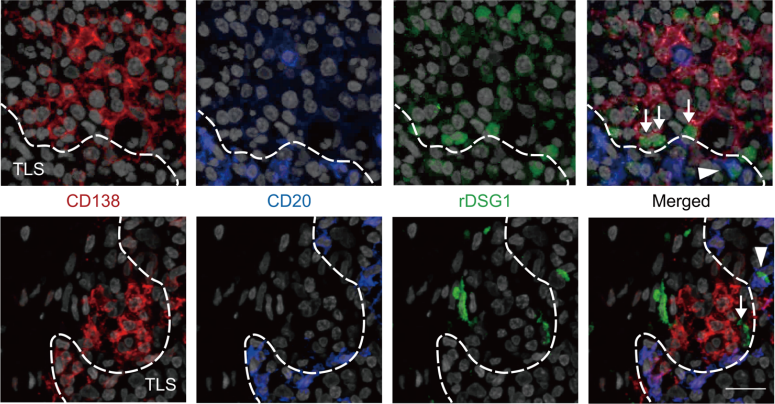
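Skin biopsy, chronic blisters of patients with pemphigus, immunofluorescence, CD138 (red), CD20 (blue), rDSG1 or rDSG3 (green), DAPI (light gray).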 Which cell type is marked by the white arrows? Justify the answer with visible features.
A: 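Plasma cells. The arrows point at cells whose outlines are ringed in red and carry green signal. These cells lie in a cluster of red-ringed cells beside the dashed line.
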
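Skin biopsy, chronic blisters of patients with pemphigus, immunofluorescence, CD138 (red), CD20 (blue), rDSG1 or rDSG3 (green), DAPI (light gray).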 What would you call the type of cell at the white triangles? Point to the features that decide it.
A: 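The triangles point at cells with blue signal that also carry green. These cells lie among blue cells inside the area bounded by the dashed line. So: B cells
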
